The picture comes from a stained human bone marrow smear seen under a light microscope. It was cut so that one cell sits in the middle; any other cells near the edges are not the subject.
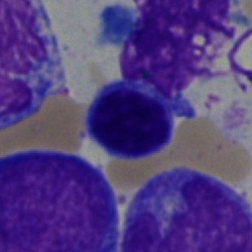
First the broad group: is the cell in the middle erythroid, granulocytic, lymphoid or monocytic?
lymphoid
